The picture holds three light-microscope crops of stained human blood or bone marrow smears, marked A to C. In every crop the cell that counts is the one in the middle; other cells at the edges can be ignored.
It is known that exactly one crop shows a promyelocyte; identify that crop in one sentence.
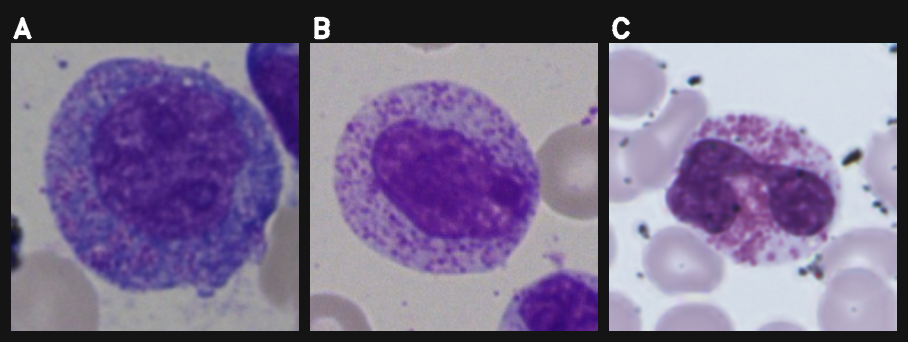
Crop A is the crop in which a promyelocyte is shown.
